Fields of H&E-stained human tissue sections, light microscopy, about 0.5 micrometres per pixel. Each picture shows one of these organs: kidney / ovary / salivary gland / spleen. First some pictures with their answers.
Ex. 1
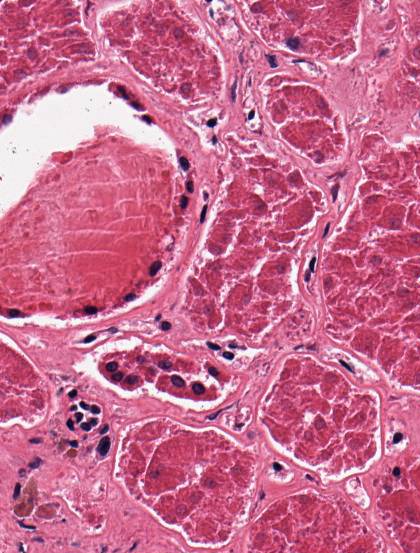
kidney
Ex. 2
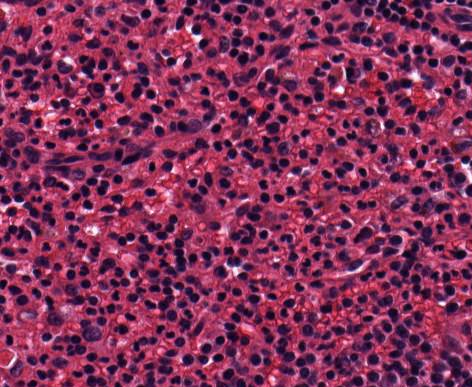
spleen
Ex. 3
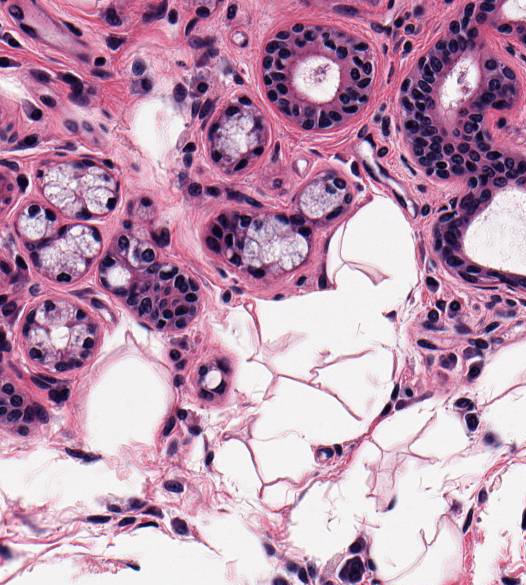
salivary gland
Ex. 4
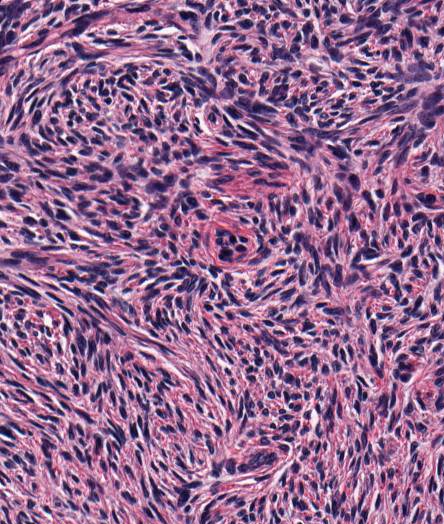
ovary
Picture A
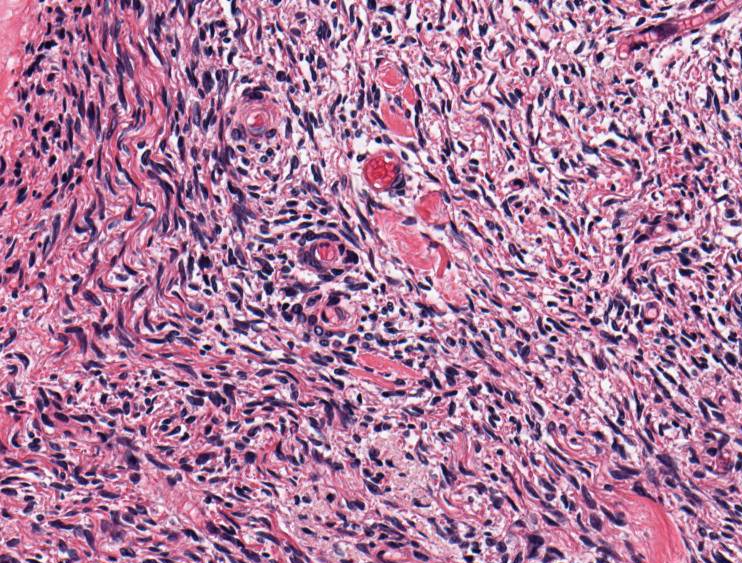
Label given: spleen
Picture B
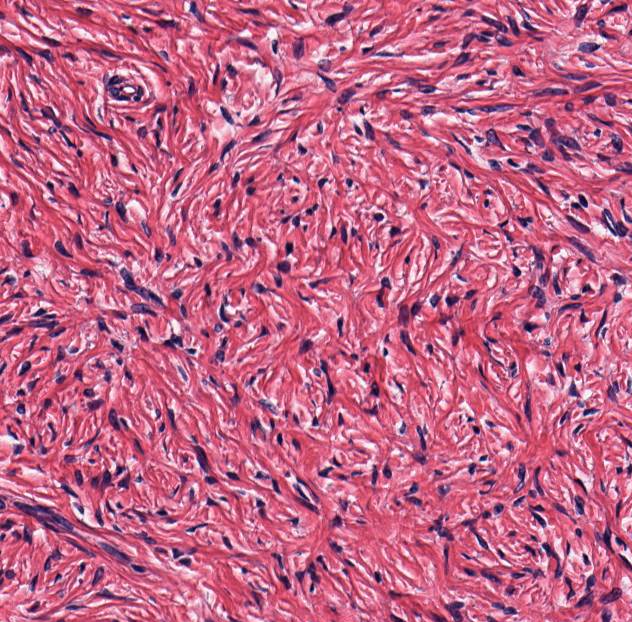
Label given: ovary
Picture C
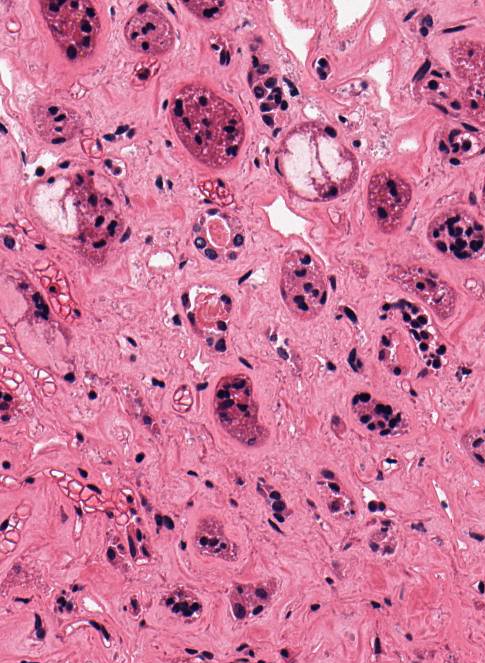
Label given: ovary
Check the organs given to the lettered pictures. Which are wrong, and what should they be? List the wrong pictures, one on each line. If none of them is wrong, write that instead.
Wrong: A (spleen); correct: ovary
Wrong: C (ovary); correct: kidney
